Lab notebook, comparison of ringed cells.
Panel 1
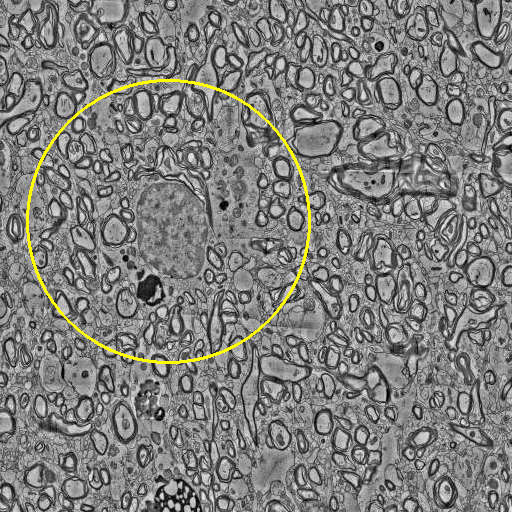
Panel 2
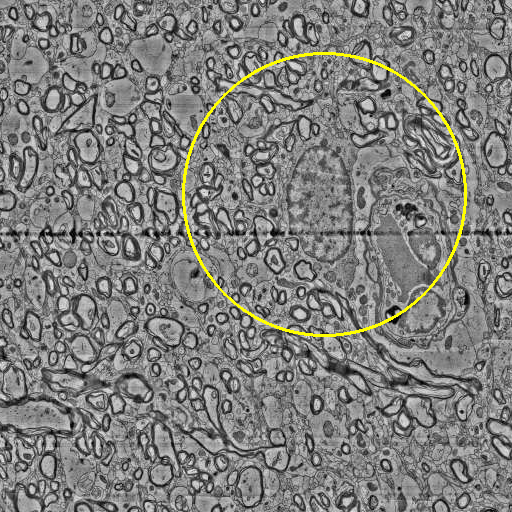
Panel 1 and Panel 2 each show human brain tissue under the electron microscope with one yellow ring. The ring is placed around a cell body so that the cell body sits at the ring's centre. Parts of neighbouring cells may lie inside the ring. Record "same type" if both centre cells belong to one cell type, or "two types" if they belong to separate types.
same type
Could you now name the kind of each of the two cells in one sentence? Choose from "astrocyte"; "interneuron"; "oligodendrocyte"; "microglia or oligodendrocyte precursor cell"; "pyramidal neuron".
Both pictures show an oligodendrocyte at the centre of the ring.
